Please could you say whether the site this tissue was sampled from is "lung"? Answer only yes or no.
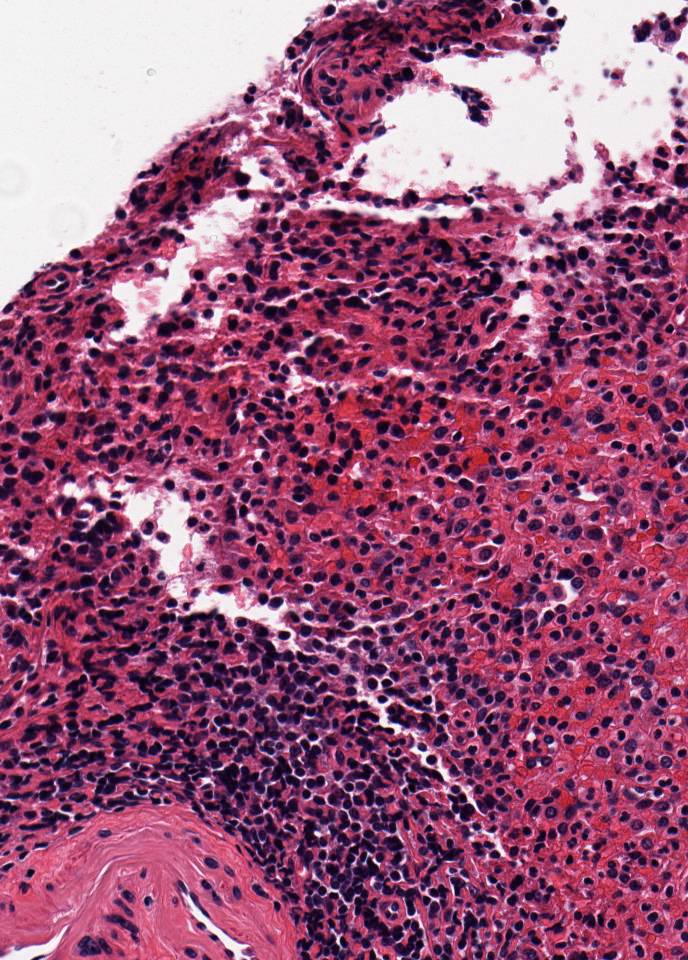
no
